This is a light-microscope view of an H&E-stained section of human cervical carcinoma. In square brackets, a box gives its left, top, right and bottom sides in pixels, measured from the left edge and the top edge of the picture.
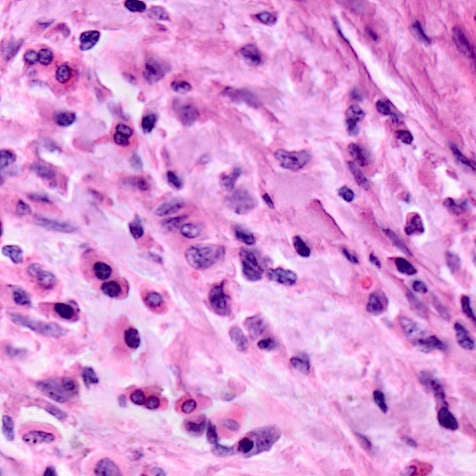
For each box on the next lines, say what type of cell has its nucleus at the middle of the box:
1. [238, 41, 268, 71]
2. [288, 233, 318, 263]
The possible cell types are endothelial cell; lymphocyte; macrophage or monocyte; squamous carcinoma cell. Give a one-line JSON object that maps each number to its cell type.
{"1": "macrophage or monocyte", "2": "lymphocyte"}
